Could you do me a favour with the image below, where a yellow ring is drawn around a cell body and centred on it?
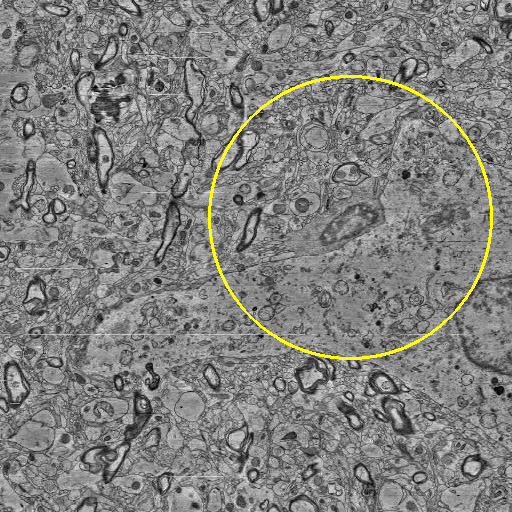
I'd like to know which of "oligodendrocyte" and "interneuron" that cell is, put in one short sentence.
The cell at the ring's centre is an oligodendrocyte.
